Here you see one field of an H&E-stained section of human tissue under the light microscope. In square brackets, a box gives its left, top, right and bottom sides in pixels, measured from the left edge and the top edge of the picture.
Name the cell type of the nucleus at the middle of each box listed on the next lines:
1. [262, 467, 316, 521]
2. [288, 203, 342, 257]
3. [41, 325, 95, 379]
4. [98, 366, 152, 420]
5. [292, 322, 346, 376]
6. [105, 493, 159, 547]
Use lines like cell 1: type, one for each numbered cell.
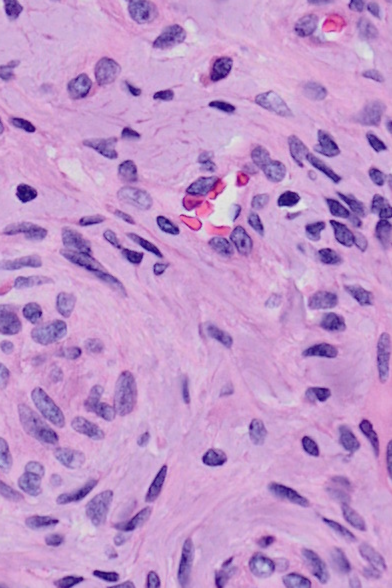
cell 1: fibroblast
cell 2: fibroblast
cell 3: smooth muscle cell
cell 4: smooth muscle cell
cell 5: fibroblast
cell 6: fibroblast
